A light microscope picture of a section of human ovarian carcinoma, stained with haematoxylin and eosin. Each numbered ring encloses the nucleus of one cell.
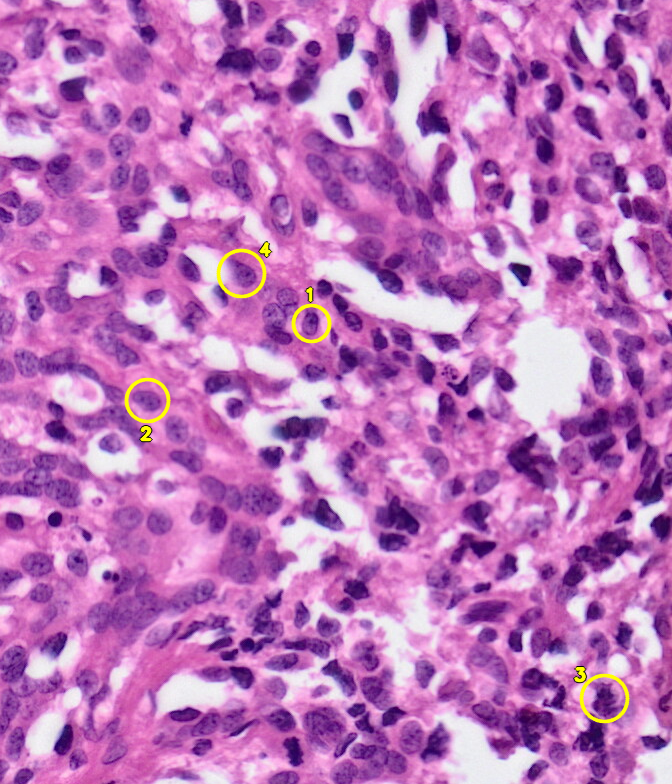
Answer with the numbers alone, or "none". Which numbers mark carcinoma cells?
2, 3, 4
